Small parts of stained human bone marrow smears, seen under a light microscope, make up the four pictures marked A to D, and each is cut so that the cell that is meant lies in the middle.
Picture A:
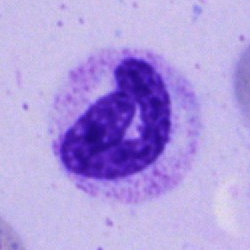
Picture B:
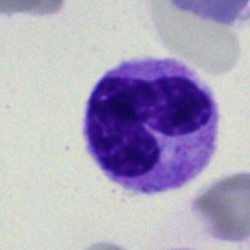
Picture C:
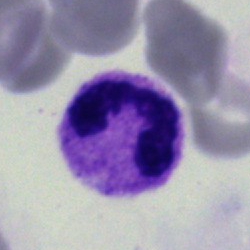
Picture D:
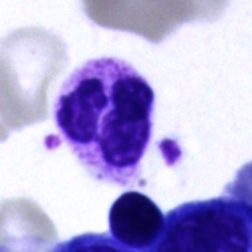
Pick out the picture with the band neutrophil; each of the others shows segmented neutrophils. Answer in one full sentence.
The band neutrophil is the one in picture B.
